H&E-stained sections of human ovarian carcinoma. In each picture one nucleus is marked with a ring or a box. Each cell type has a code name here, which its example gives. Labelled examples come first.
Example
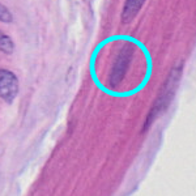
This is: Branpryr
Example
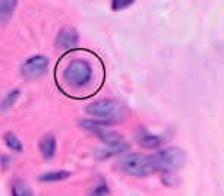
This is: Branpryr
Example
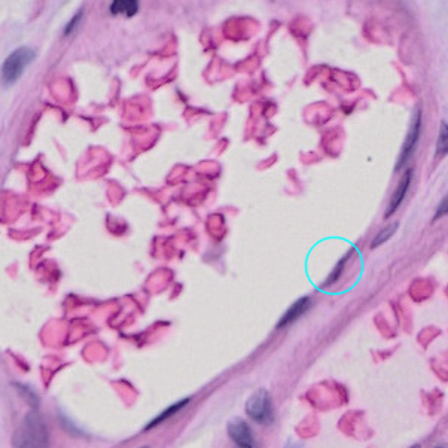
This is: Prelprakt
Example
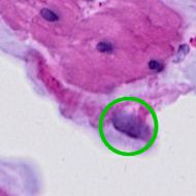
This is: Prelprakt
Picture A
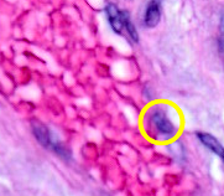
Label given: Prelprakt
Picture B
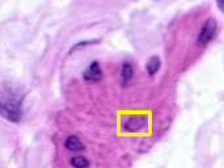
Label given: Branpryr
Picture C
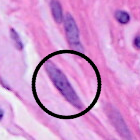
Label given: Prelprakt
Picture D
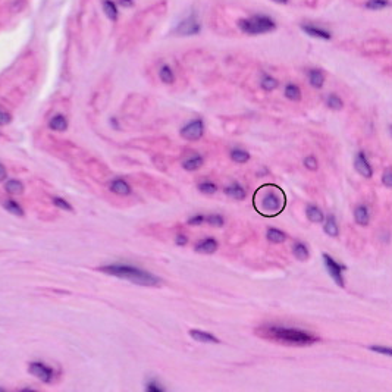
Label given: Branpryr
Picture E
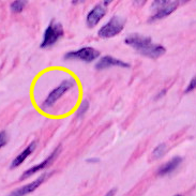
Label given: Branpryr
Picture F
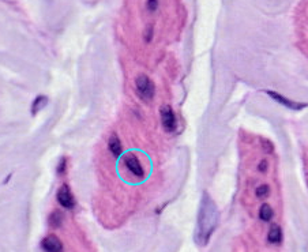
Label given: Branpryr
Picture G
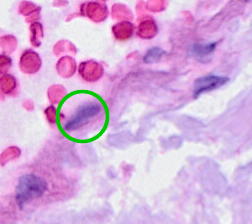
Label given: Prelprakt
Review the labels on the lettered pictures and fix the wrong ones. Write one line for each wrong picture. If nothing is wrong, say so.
C: not Prelprakt but Branpryr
